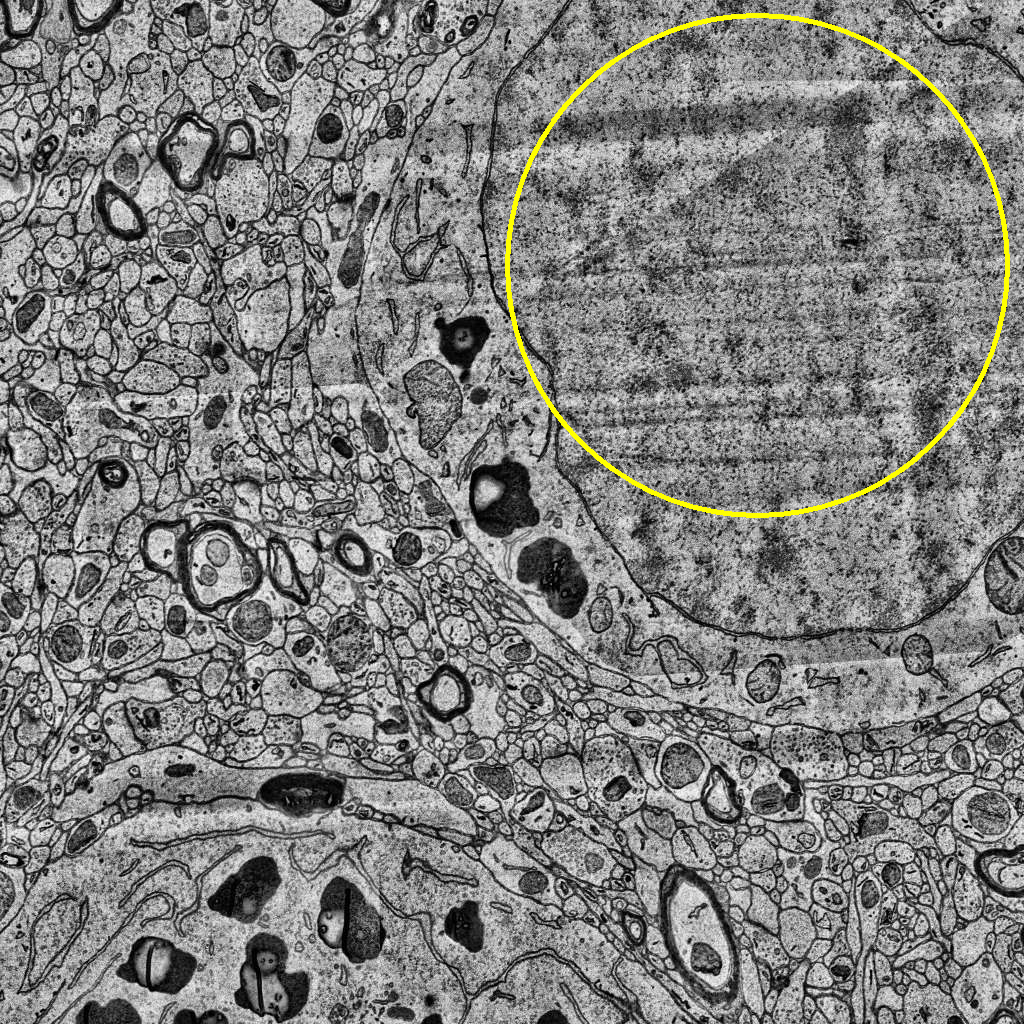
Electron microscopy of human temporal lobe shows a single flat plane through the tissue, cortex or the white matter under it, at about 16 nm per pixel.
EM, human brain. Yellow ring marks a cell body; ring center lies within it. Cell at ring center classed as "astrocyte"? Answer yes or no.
no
